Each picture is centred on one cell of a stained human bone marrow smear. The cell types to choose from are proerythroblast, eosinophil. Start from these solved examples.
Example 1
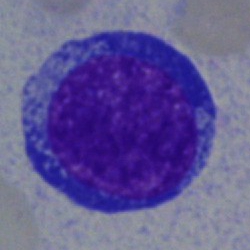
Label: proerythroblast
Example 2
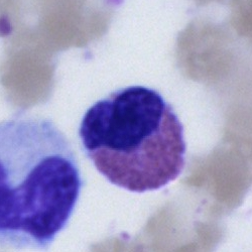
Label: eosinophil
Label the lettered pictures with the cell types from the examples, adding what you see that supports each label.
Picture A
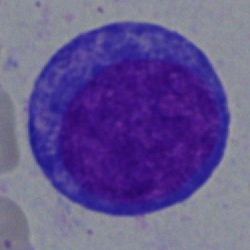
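proerythroblast. Evidence: The chromatin is finely granular rather than coarsely clumped.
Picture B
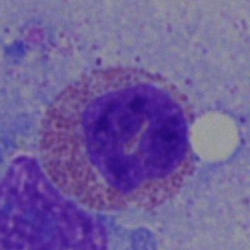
eosinophil. Evidence: The cytoplasm is packed with coarse orange-red granules.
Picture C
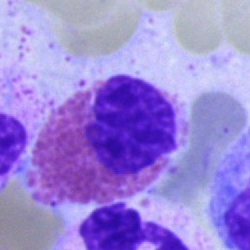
eosinophil. Evidence: The chromatin is coarse and clumped, staining deep purple.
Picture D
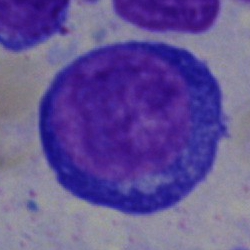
proerythroblast. Evidence: The chromatin is finely stippled rather than clumped into coarse blocks.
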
